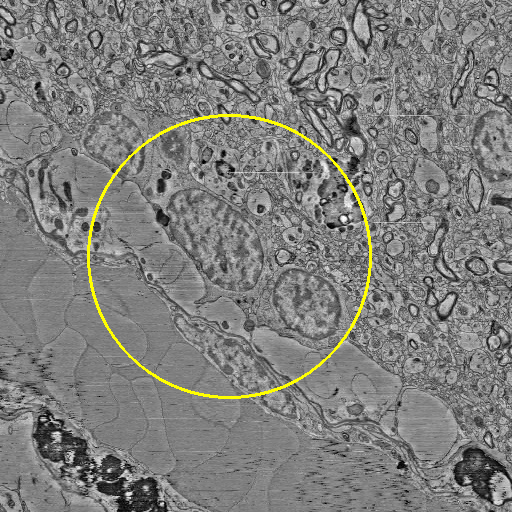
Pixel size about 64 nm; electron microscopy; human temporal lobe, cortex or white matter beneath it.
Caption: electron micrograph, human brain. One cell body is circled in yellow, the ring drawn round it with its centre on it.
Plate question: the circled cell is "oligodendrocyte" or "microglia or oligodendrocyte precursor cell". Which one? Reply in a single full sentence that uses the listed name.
The yellow ring on the plate is centred on an oligodendrocyte, going by the listed names.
